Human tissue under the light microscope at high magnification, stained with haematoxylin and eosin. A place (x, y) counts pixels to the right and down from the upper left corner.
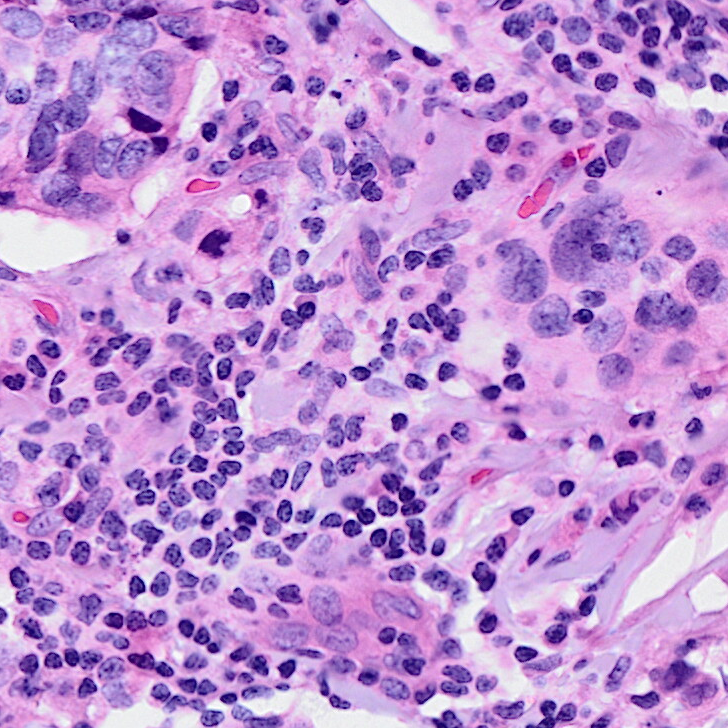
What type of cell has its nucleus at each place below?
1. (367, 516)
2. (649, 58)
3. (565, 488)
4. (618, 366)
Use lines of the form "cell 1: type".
cell 1: lymphocyte
cell 2: lymphocyte
cell 3: lymphocyte
cell 4: carcinoma cell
